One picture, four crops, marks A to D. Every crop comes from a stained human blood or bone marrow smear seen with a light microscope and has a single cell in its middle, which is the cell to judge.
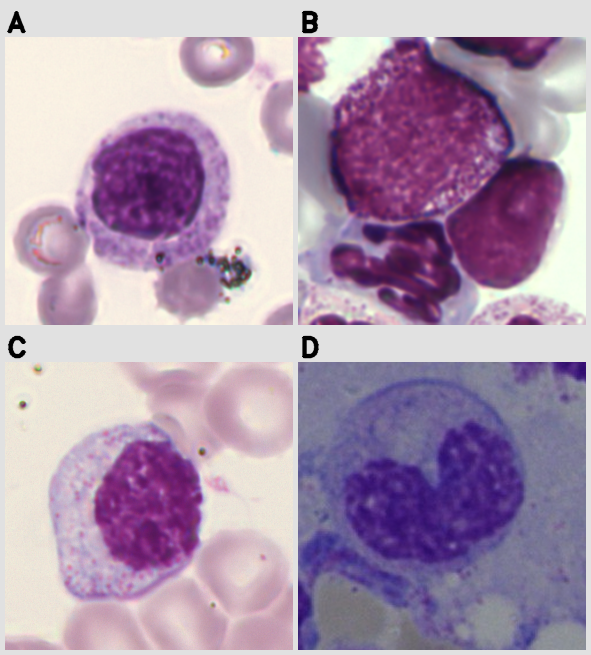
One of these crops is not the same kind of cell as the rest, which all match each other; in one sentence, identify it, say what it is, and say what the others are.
Of these crops, only crop D is a monocyte; the others are myelocytes.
